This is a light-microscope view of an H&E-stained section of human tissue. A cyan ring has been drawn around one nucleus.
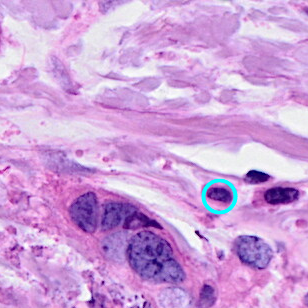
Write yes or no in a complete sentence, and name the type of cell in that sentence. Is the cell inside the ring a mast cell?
Yes, in terms of cell type, the cell inside the ring is a mast cell.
